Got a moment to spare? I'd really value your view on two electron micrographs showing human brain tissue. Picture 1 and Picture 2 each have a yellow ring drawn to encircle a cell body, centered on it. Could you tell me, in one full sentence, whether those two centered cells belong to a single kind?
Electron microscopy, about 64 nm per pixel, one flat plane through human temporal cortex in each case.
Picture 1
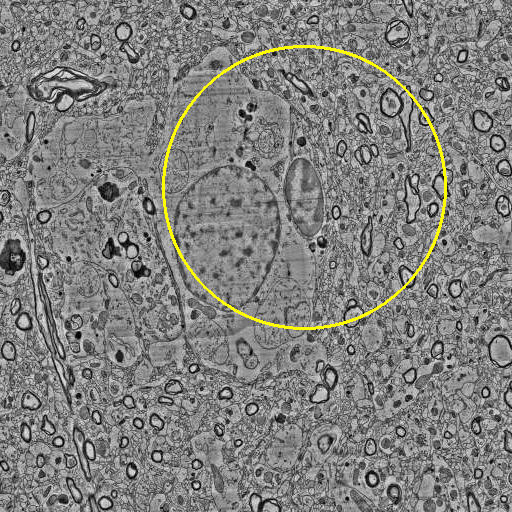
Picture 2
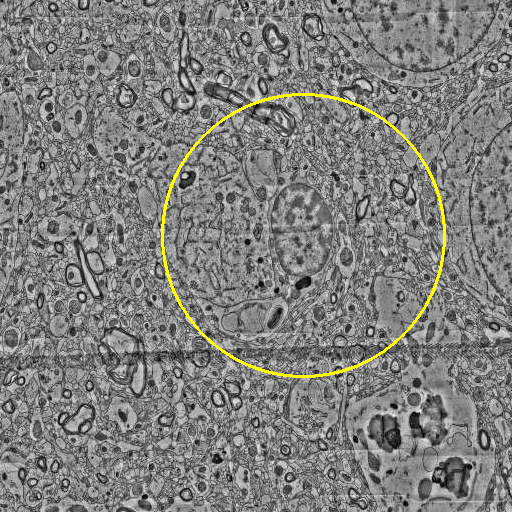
No, the two centered cells in Picture 1 and Picture 2 are of two kinds.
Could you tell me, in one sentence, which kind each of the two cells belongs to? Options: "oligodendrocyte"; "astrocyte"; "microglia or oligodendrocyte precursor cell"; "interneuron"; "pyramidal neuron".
At the centre of the first ring sits a microglial cell or oligodendrocyte precursor cell, and at the centre of the second sits an oligodendrocyte.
